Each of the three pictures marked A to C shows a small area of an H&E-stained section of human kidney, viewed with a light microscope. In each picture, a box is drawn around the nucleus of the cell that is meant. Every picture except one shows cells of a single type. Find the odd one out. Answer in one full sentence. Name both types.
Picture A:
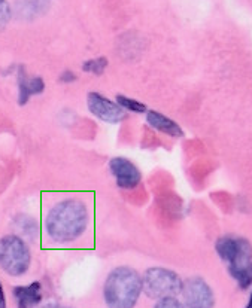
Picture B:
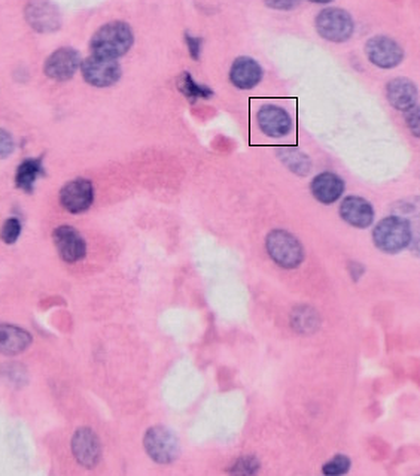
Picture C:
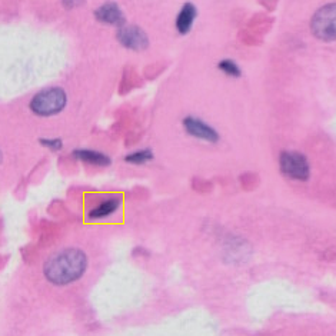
All pictures except C show collecting duct cells; picture C shows an endothelial cell.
